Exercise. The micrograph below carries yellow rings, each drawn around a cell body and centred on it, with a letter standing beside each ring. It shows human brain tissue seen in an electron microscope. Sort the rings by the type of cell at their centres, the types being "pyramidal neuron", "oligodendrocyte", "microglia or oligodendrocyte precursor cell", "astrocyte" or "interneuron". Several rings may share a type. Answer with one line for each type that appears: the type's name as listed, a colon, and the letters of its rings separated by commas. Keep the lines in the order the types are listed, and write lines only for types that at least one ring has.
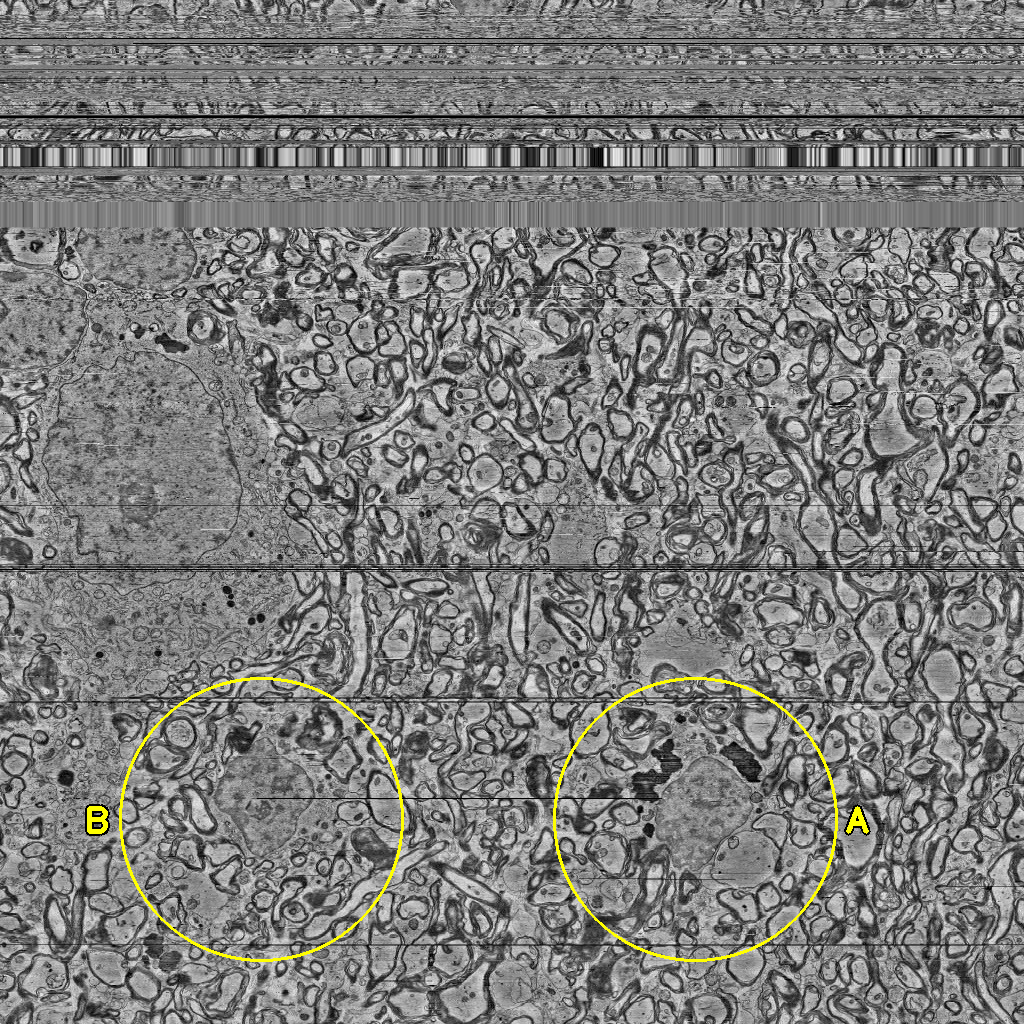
oligodendrocyte: A, B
